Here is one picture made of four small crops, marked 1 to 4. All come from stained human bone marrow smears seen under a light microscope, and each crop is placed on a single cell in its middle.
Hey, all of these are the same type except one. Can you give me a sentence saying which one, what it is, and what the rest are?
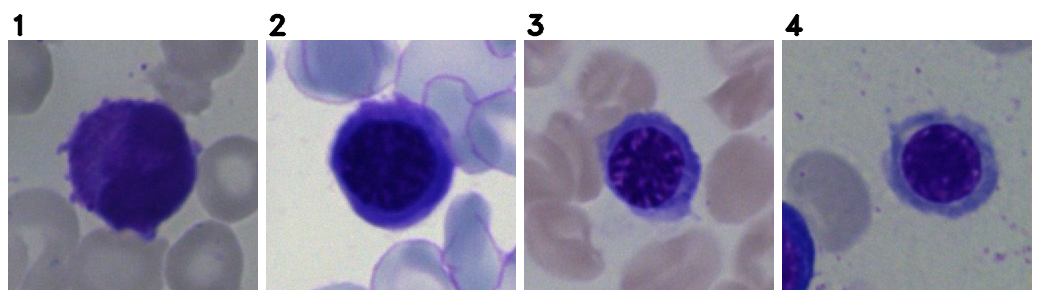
Among these crops, erythroblasts occur in all but crop 1, which contains a blast.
